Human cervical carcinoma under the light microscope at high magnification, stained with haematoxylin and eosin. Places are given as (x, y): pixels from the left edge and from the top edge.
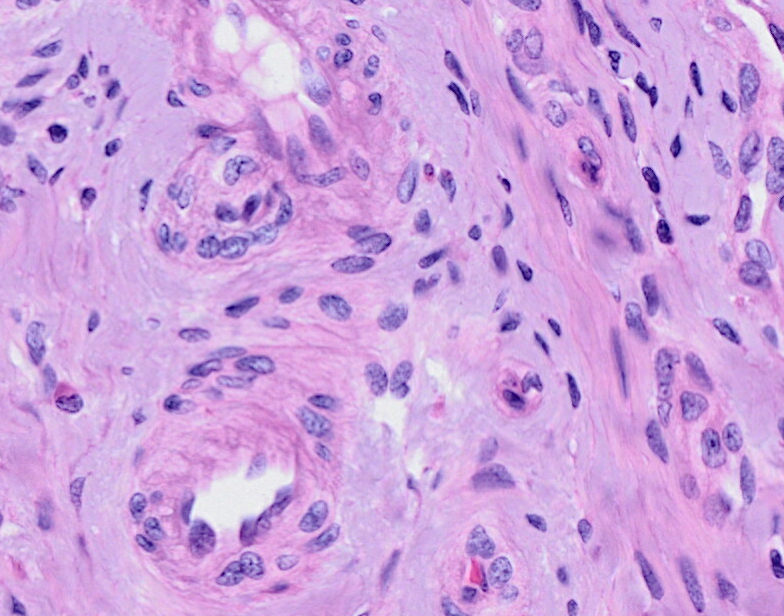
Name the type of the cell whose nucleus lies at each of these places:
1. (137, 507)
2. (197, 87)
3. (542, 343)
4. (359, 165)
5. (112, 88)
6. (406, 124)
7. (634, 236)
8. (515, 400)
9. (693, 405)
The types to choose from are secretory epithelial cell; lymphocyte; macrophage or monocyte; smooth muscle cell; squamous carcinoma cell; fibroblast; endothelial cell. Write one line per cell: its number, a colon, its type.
1: smooth muscle cell
2: smooth muscle cell
3: fibroblast
4: smooth muscle cell
5: fibroblast
6: smooth muscle cell
7: fibroblast
8: endothelial cell
9: endothelial cell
